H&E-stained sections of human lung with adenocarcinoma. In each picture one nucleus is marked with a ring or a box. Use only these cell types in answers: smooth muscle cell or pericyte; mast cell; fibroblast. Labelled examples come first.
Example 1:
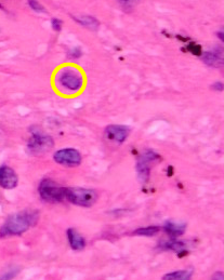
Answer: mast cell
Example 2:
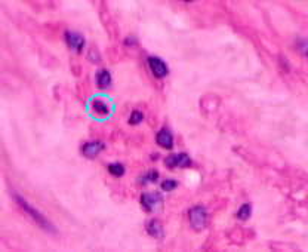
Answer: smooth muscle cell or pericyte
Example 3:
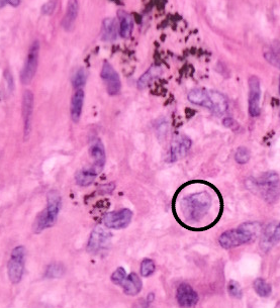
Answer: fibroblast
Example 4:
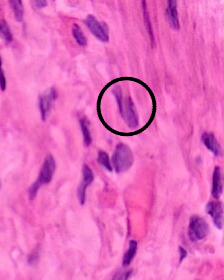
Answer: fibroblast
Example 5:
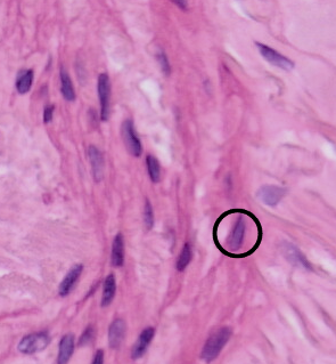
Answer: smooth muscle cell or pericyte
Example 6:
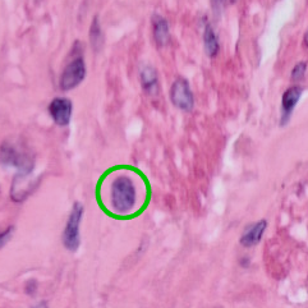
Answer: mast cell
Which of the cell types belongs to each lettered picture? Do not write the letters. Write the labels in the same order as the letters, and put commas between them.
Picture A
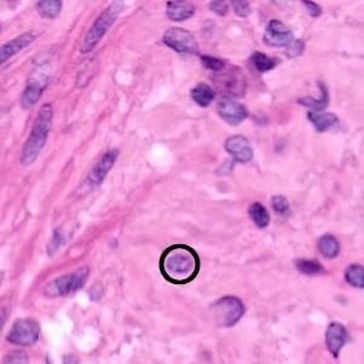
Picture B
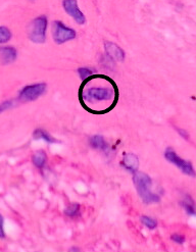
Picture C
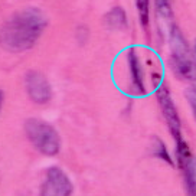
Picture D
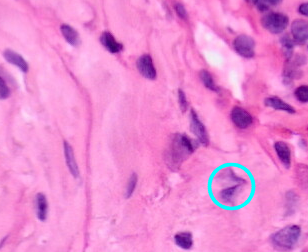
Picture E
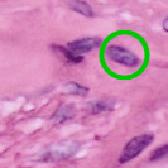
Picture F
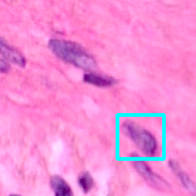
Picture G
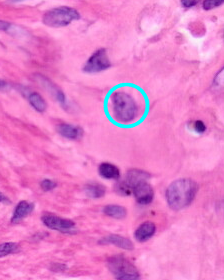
mast cell, mast cell, fibroblast, fibroblast, mast cell, smooth muscle cell or pericyte, fibroblast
